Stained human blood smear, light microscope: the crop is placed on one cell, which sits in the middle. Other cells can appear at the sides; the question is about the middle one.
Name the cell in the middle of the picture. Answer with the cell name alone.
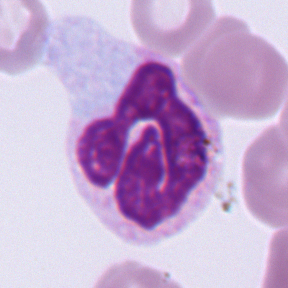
segmented neutrophil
